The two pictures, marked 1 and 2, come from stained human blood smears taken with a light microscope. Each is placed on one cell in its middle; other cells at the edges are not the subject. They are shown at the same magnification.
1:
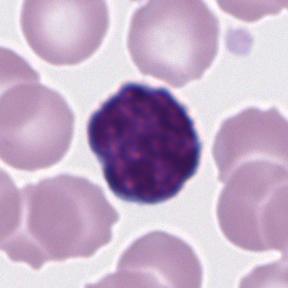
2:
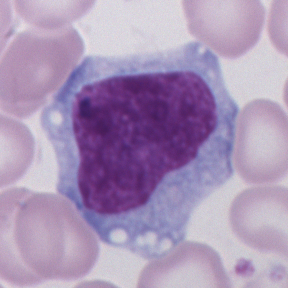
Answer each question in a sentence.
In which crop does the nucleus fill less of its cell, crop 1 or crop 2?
It is the cell in crop 2 that is filled less by its nucleus.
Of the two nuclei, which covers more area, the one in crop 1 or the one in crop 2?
It is the nucleus in crop 2, about 1.5 times as large in area as the one in crop 1.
